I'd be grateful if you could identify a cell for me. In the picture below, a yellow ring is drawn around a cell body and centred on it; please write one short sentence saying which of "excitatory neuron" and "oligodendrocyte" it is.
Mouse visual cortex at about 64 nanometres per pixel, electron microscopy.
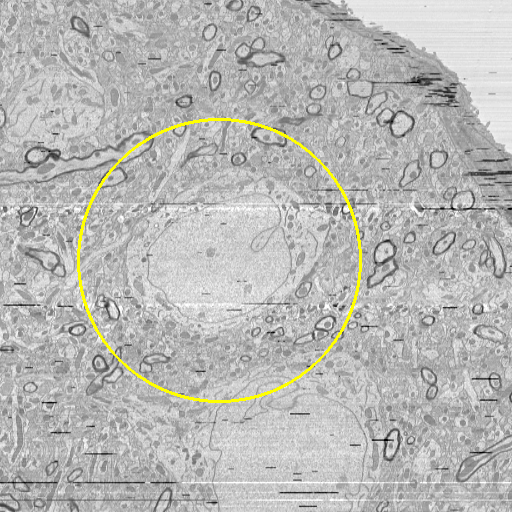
The cell under the ring's centre is an excitatory neuron.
